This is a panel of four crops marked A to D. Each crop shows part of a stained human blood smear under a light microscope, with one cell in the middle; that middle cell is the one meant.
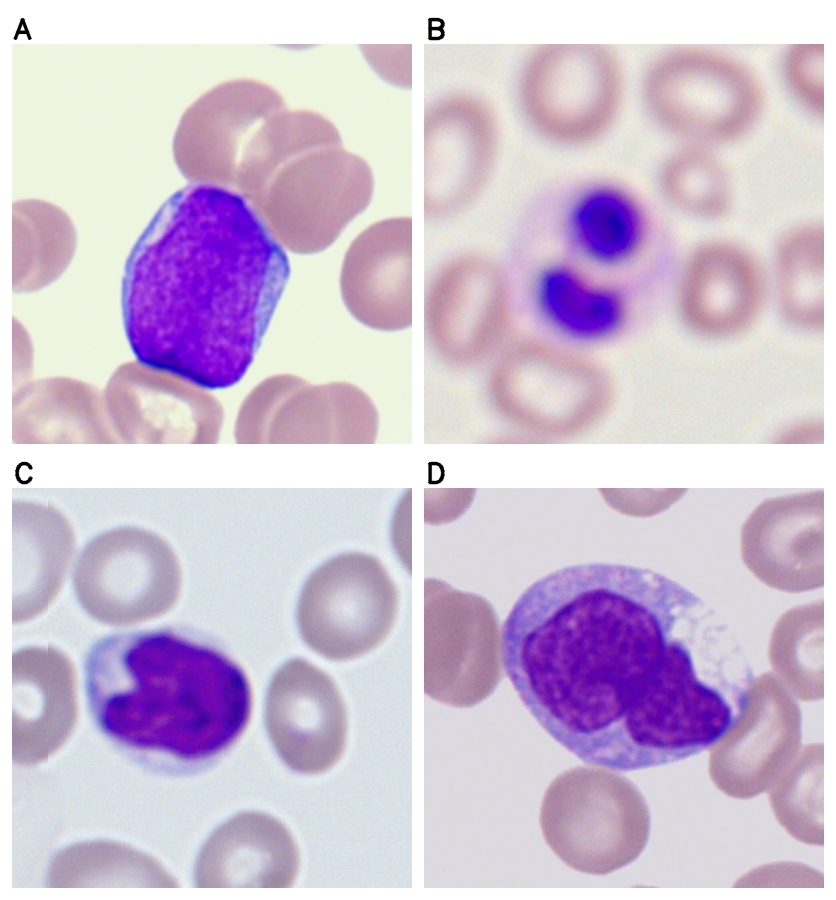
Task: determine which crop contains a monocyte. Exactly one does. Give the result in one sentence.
Crop D is the crop featuring a monocyte at its center.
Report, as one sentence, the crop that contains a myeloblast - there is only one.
So the crop with a myeloblast at its center is crop A.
